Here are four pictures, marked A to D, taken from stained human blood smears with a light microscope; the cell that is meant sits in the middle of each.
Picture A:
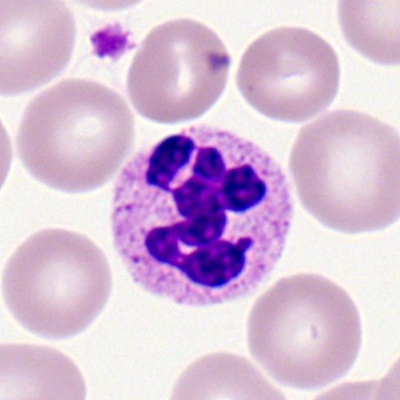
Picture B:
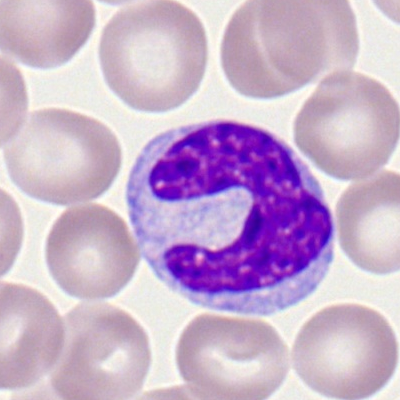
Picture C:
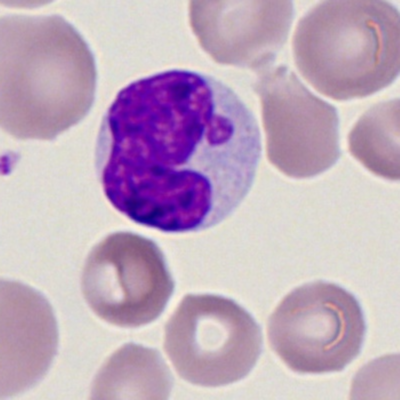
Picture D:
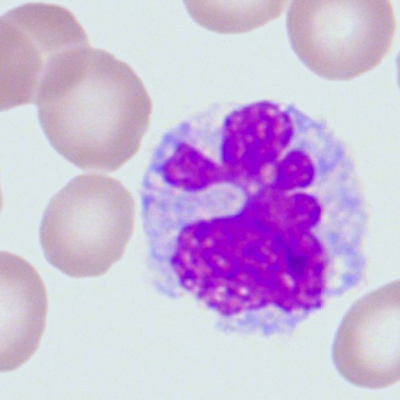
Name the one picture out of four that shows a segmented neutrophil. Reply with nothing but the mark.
A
